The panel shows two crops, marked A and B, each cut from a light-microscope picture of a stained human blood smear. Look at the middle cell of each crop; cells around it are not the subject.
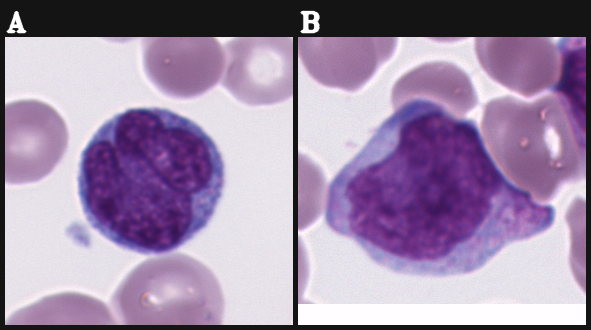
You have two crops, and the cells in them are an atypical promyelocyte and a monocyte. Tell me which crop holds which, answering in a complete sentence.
Crop A is a monocyte and crop B is an atypical promyelocyte.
